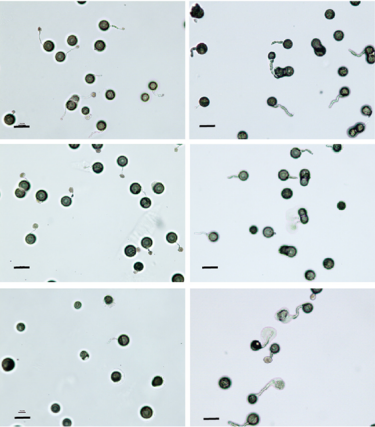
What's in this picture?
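These are pollen grains seen by light microscopy, scattered as dark round cells with thick walls. Some of them have sent out a long, thin, pale pollen tube, while others remain round without one.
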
